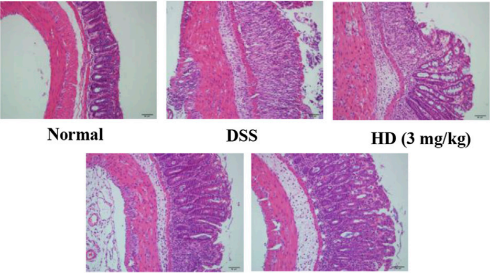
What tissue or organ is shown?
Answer: colon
